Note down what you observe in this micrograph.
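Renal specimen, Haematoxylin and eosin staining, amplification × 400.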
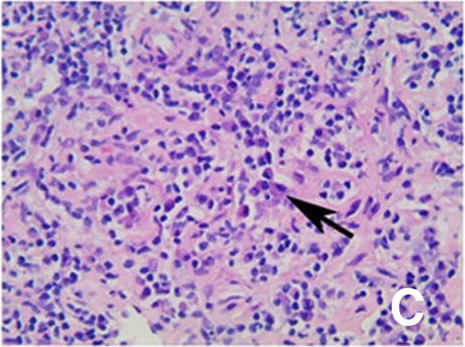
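This is kidney interstitium crowded with lymphocytes and plasma cells. Small round cells with dense, dark purple nuclei and scant cytoplasm are packed closely between pale pink strands of connective tissue. The infiltrate is diffuse and dense, and no intact tubule stands out in this field.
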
